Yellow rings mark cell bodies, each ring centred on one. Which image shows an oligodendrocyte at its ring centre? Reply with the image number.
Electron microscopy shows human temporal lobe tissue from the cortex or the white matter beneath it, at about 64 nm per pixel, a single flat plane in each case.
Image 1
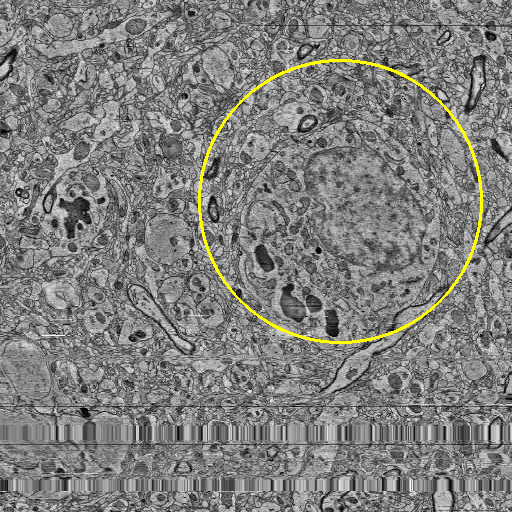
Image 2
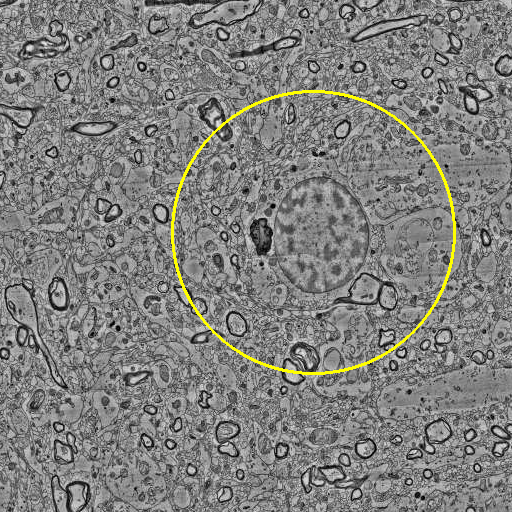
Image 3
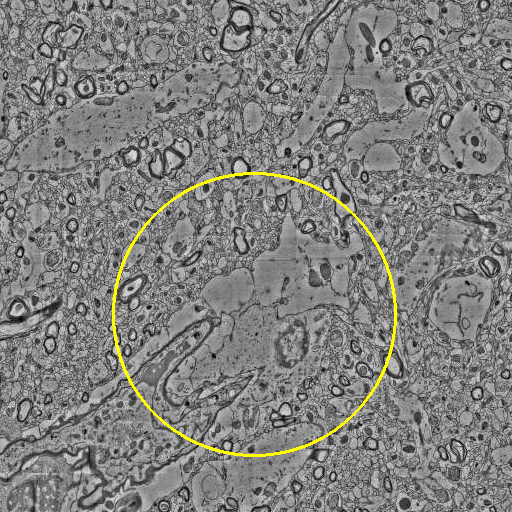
2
